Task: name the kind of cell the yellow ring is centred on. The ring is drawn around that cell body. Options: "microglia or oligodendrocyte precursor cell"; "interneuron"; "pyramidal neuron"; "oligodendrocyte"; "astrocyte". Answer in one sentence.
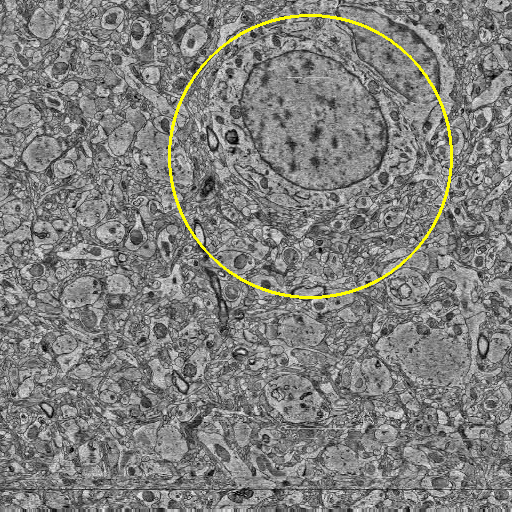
This cell body belongs to a pyramidal neuron.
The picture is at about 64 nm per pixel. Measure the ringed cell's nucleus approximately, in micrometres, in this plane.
Approximately 10 x 8 micrometres in this plane.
